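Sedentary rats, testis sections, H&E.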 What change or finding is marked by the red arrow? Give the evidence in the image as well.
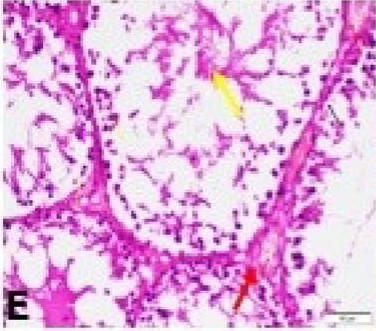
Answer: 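The arrow points into the narrow space between two tubules. A pink-stained streak lies in that interstitial space.
Hence: congested blood vessels.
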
